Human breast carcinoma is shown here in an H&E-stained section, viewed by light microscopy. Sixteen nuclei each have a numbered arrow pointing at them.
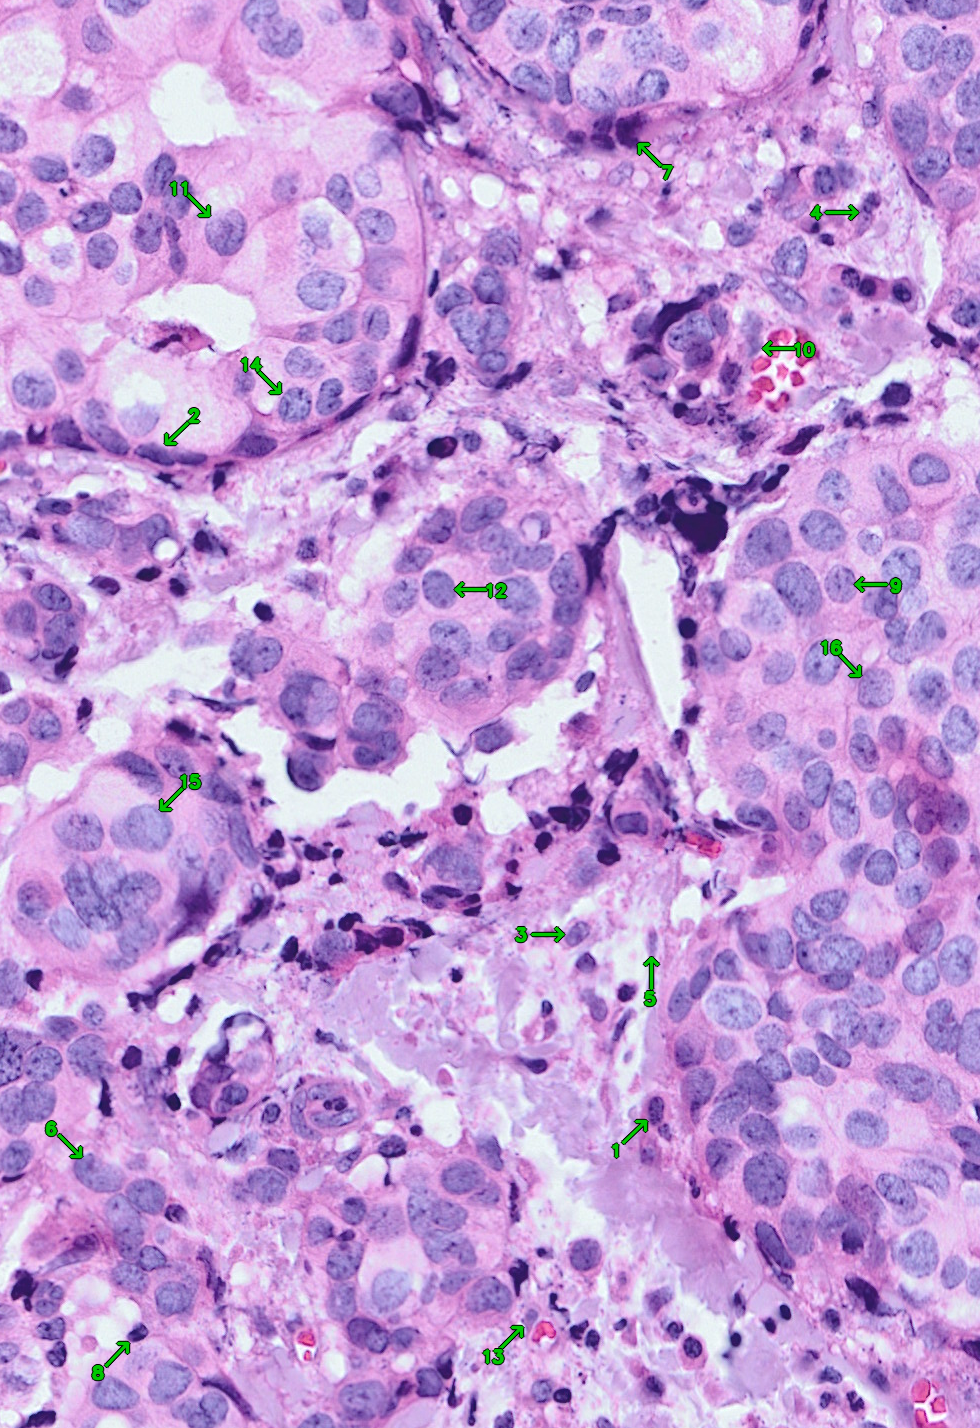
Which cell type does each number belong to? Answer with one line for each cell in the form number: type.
1: mast cell
2: carcinoma cell
3: macrophage, monocyte or dendritic cell
4: macrophage, monocyte or dendritic cell
5: fibroblast
6: carcinoma cell
7: carcinoma cell
8: lymphocyte
9: carcinoma cell
10: endothelial cell
11: carcinoma cell
12: carcinoma cell
13: endothelial cell
14: carcinoma cell
15: carcinoma cell
16: carcinoma cell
